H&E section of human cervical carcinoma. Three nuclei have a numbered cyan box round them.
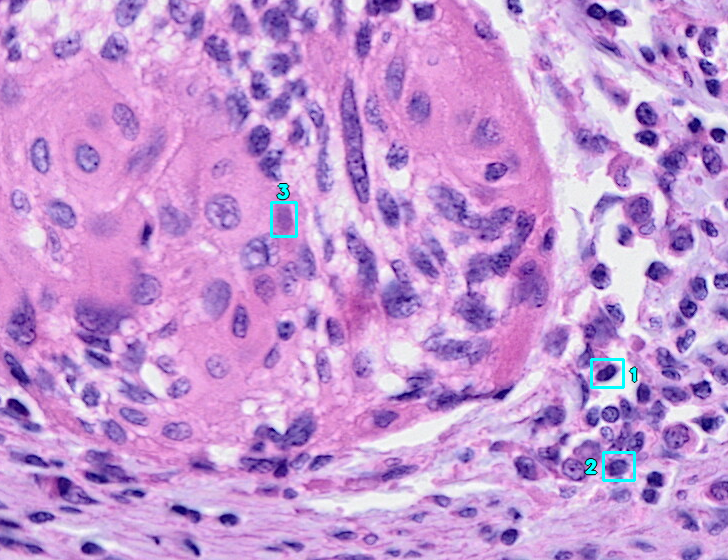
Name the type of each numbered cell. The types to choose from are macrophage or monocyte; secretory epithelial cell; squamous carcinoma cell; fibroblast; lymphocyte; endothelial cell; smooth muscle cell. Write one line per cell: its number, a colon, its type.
1: lymphocyte
2: lymphocyte
3: squamous carcinoma cell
